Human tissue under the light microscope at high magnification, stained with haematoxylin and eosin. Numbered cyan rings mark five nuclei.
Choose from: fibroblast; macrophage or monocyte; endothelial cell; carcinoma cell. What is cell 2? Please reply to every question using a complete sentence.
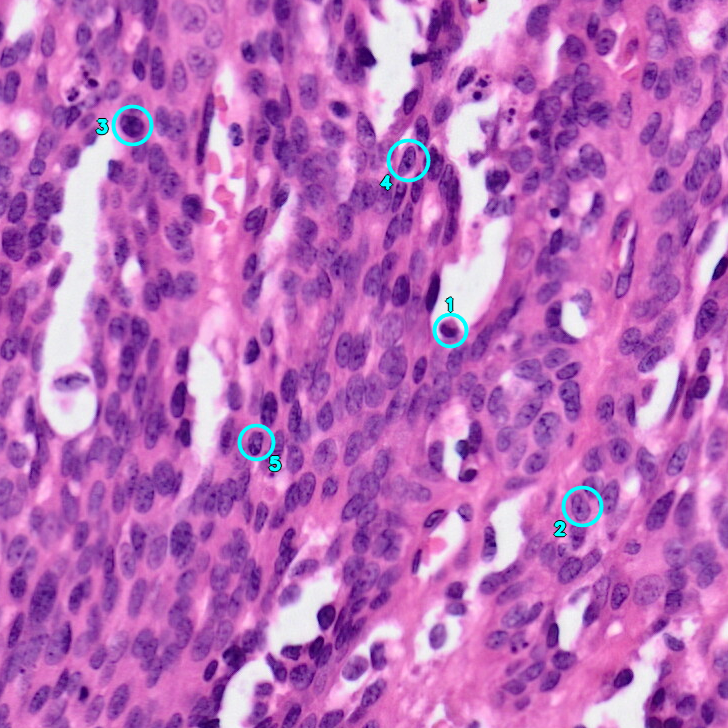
The cell that is numbered 2 is a macrophage or monocyte.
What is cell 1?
The cell that is numbered 1 is a carcinoma cell.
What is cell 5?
The cell indicated by marker 5 is a macrophage or monocyte in this section.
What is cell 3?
Cell 3, as marked in the section, is a carcinoma cell.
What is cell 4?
It is as a macrophage or monocyte that the cell numbered 4 is identified.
